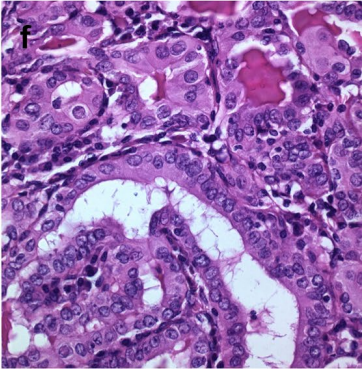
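Thyroid papillary carcinoma with tumour cells lining irregular glandular spaces and small follicles containing pink colloid. The nuclei are enlarged, oval, crowded and overlapping, with pale, clear-looking chromatin; the cytoplasm is pink and moderate in amount.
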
